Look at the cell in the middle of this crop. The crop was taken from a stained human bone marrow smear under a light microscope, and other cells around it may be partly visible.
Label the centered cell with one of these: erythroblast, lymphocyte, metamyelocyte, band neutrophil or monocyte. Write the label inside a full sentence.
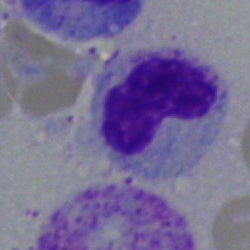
The central cell, amid any neighbouring cells, is a band neutrophil.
